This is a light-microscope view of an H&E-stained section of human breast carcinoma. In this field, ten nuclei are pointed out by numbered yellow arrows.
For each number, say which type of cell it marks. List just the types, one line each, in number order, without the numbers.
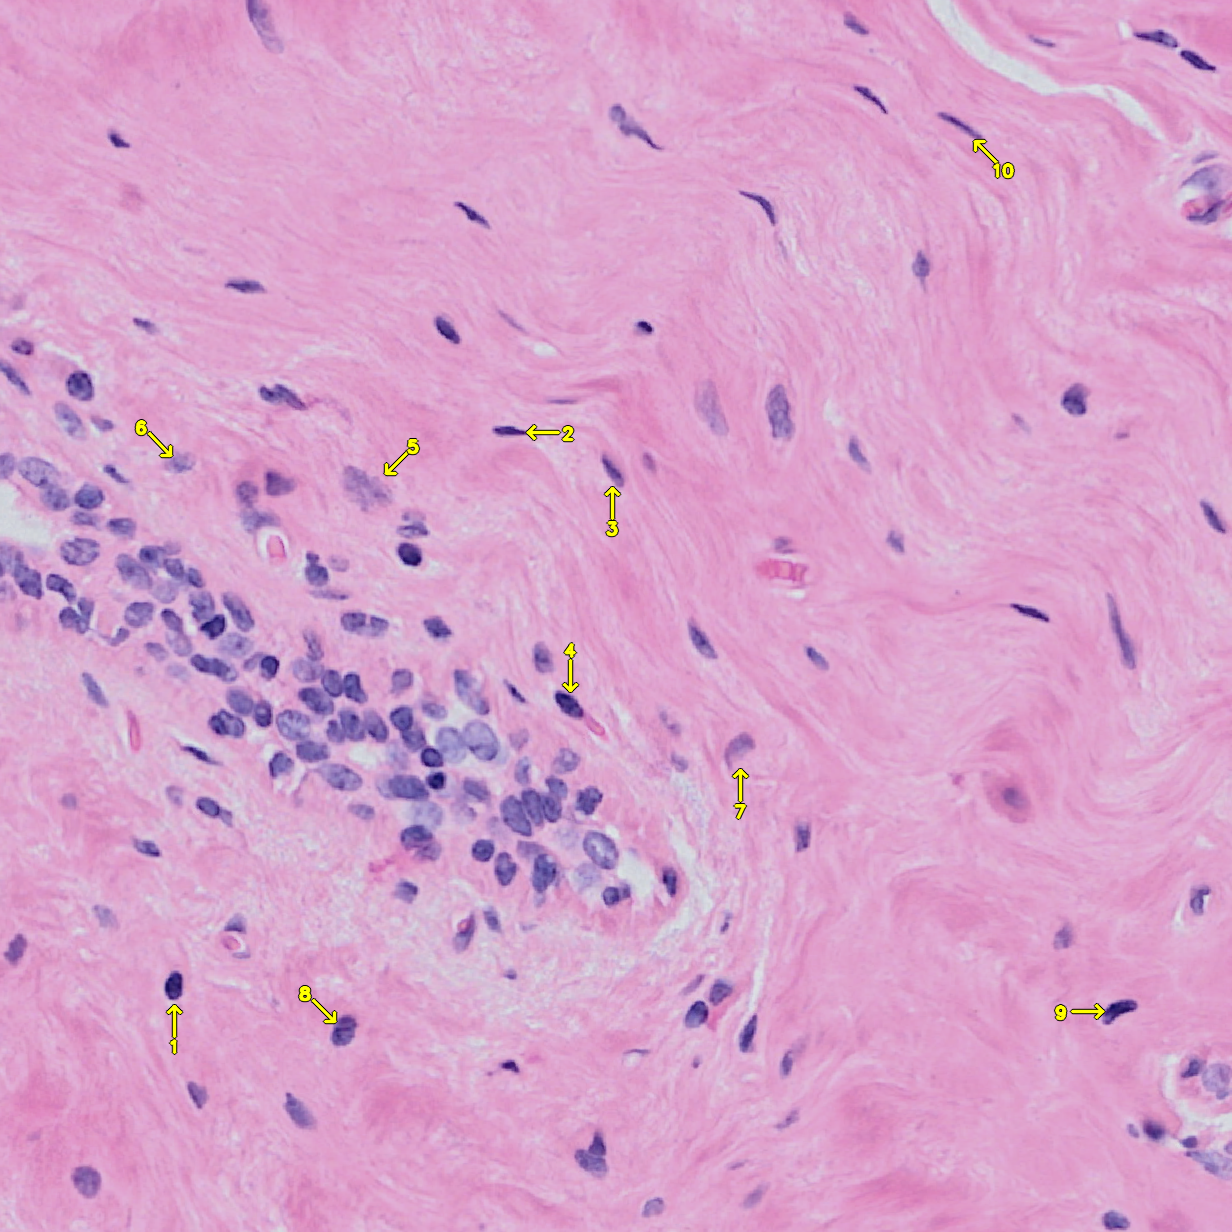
lymphocyte
fibroblast
fibroblast
lymphocyte
fibroblast
fibroblast
fibroblast
lymphocyte
lymphocyte
fibroblast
